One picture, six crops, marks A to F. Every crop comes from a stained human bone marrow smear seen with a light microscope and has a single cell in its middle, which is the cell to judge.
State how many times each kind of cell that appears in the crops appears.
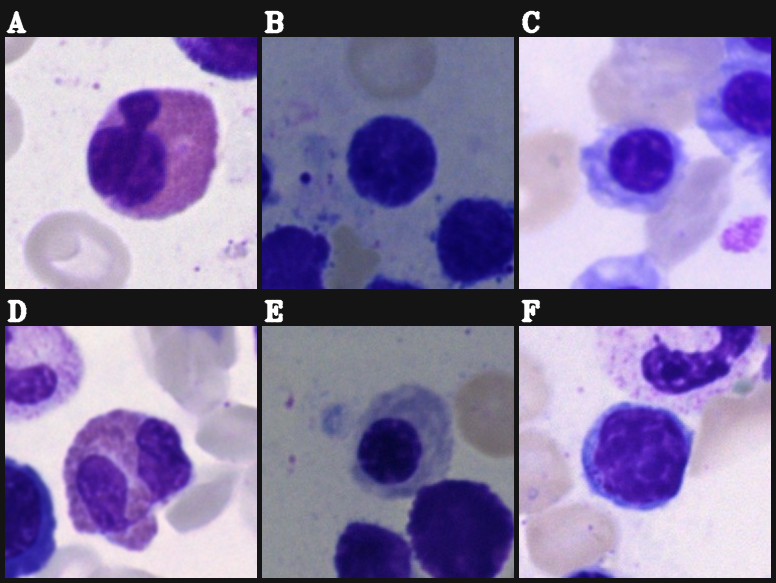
eosinophil: 2
lymphocyte: 2
erythroblast: 2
